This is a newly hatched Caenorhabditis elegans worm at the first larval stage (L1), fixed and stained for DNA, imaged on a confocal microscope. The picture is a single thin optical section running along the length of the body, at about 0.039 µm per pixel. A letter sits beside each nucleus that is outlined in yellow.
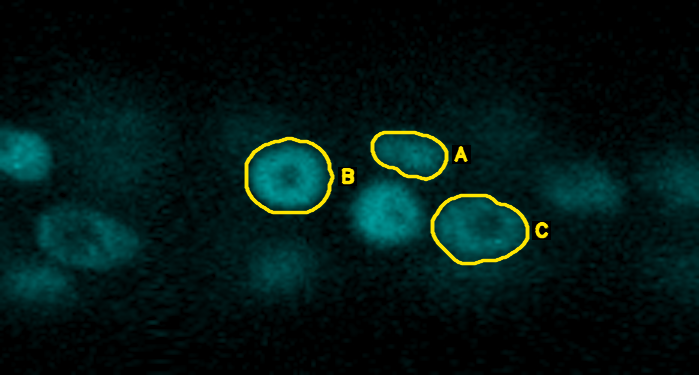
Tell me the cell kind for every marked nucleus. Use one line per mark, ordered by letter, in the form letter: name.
A: P cell (ventral epidermal blast cell)
B: Q neuroblast
C: hypodermal cell (hyp)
